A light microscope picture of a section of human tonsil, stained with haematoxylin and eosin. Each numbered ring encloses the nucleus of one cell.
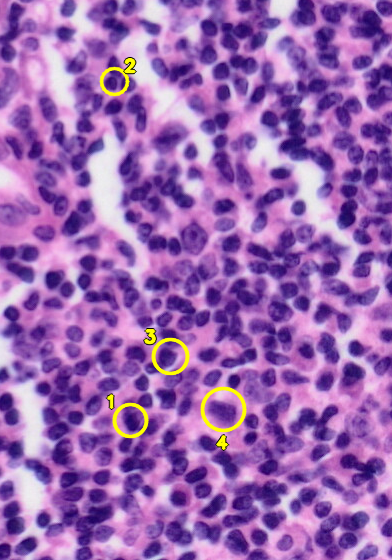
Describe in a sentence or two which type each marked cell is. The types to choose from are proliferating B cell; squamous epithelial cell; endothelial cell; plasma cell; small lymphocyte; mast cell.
Cell 1 is a small lymphocyte, cell 2 is a small lymphocyte, cell 3 is a small lymphocyte and cell 4 is a proliferating B cell.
